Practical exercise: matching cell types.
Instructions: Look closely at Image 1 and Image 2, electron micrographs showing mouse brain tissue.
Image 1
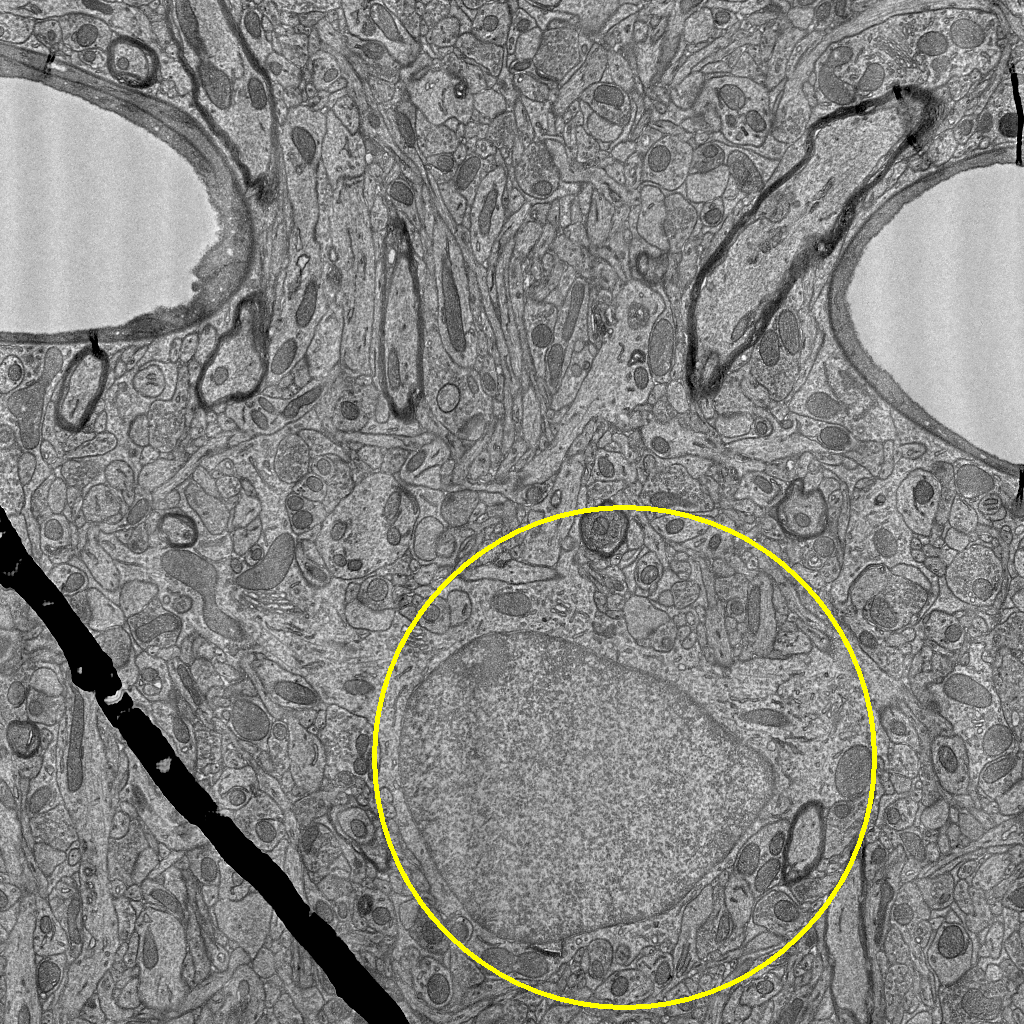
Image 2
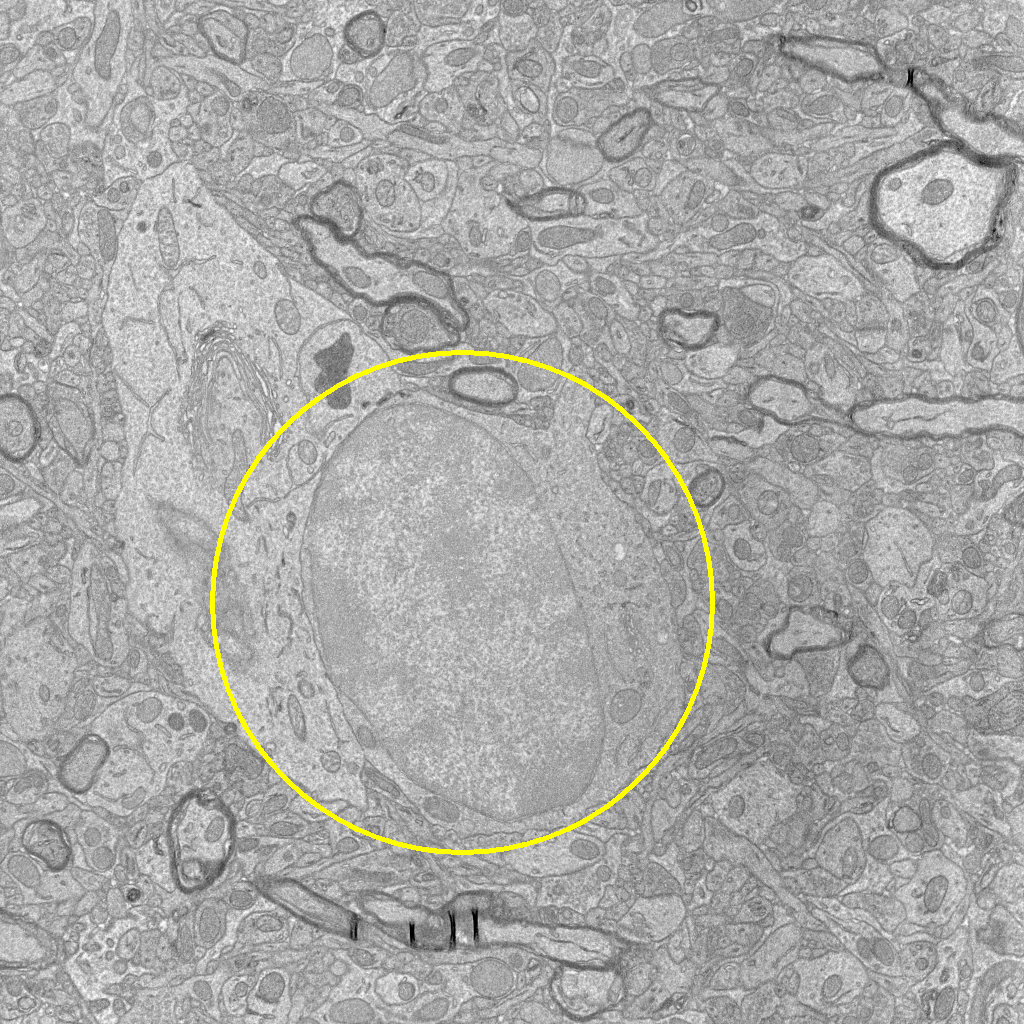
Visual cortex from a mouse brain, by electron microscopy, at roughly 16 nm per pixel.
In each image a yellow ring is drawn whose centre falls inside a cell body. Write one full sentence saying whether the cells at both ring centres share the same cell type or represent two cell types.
Across Image 1 and Image 2, the cells at the ring centres represent two cell types.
